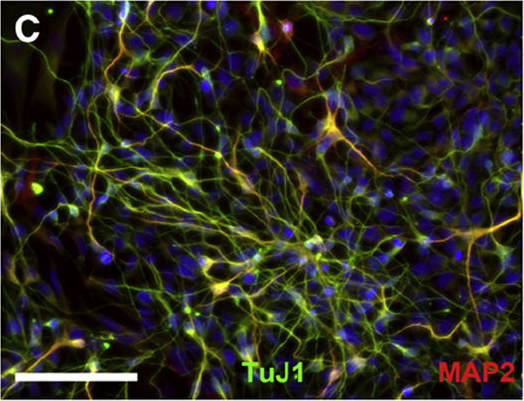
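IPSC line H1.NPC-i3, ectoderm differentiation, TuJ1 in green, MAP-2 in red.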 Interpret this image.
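These are cultured neurons, seen as a loose network of small cell bodies with long, slender processes. The cell bodies are small and rounded, each around a blue nucleus, and from them thin green processes run out, branch and cross one another, so that much of the field is woven over with fine threads. Some cell bodies and thicker processes look yellow to orange where red overlaps the green. Between the neurons lie many blue nuclei of cells whose outlines are not stained, forming a background layer beneath the network.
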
